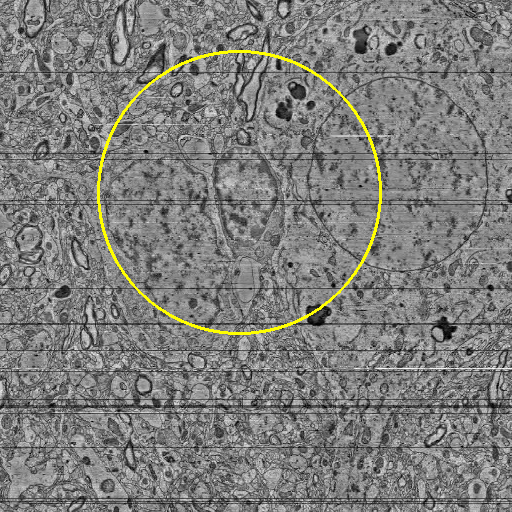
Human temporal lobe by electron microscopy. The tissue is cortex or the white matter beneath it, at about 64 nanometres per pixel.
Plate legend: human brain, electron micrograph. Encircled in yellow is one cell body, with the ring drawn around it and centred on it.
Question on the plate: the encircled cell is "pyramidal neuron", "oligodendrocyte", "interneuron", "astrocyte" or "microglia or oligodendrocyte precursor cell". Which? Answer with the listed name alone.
oligodendrocyte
